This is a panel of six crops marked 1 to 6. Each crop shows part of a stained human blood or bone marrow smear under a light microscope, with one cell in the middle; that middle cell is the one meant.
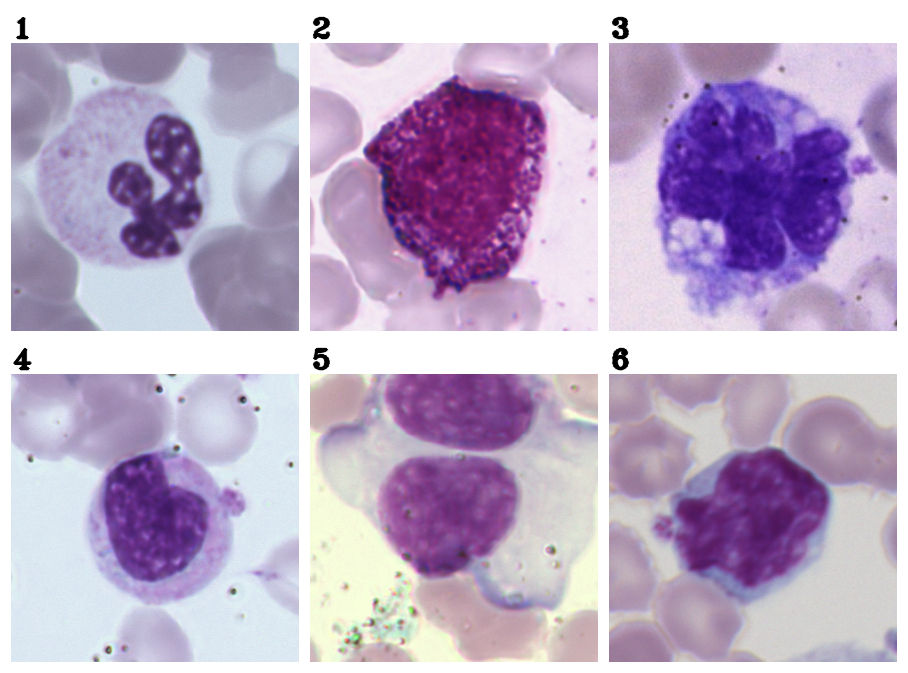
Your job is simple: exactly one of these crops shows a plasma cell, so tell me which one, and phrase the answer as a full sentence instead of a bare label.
It is crop 5, not any other, that shows a plasma cell.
